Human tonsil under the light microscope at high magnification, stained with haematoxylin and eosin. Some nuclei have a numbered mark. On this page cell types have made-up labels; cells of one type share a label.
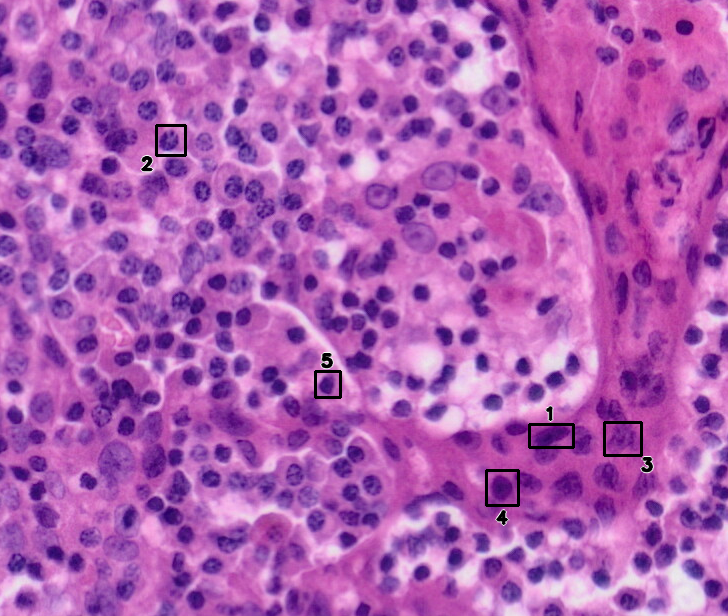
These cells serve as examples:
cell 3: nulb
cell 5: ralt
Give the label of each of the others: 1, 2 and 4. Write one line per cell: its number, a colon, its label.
1: nulb
2: ralt
4: nulb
